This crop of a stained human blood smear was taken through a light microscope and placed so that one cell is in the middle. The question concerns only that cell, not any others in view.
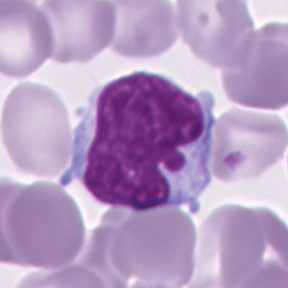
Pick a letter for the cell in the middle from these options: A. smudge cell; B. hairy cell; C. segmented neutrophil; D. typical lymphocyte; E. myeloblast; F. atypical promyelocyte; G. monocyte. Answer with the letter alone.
D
